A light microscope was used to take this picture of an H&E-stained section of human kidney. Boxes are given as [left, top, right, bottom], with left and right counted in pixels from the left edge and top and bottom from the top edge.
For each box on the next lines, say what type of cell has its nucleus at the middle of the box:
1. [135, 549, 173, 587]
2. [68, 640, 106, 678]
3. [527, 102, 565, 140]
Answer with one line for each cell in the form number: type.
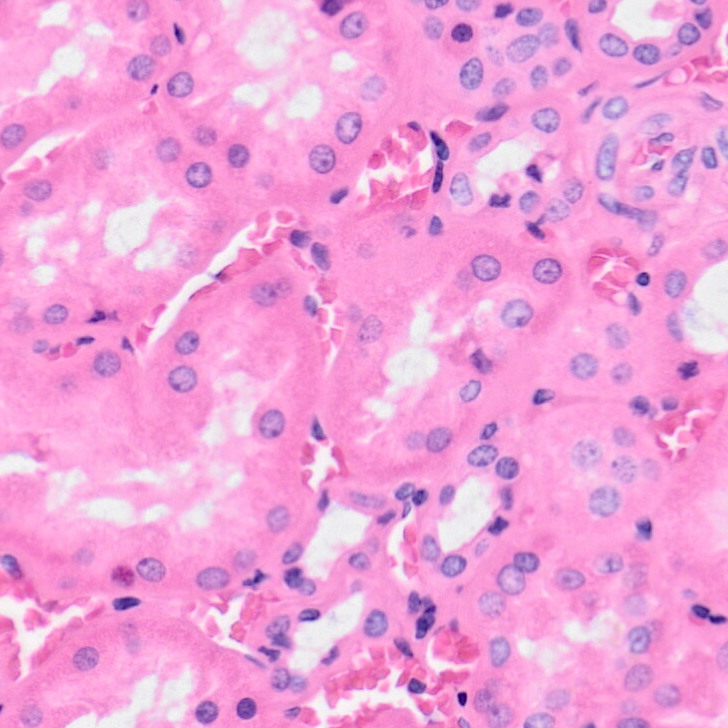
1: proximal tubule cell
2: proximal tubule cell
3: collecting duct cell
